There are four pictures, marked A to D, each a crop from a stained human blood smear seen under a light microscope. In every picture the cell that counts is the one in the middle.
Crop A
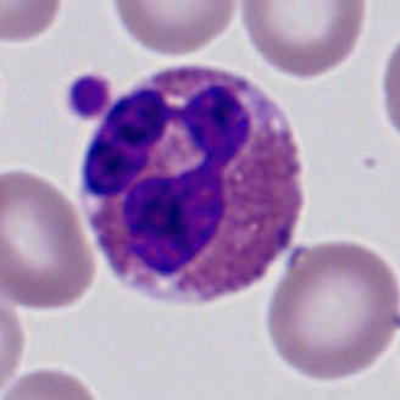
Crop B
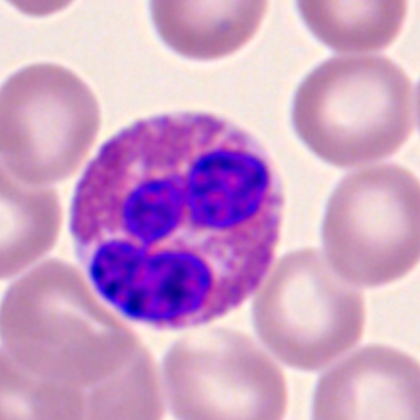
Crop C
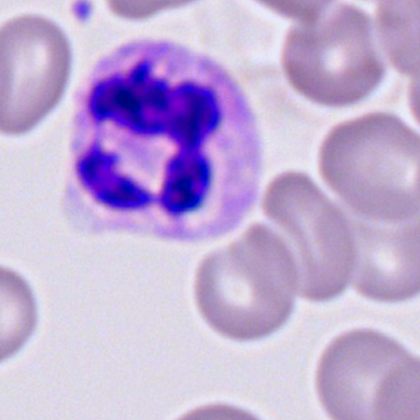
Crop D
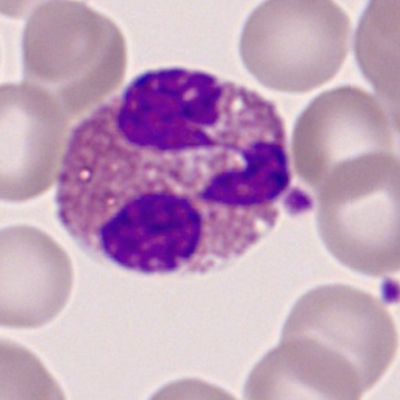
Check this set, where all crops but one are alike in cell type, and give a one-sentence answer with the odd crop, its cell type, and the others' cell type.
Just crop C is a neutrophil; all the other crops show eosinophils.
